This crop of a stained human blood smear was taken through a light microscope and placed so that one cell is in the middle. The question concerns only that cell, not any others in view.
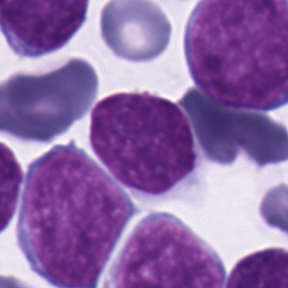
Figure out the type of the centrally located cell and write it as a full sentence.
The cell centred in this crop is categorized as a myeloblast.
